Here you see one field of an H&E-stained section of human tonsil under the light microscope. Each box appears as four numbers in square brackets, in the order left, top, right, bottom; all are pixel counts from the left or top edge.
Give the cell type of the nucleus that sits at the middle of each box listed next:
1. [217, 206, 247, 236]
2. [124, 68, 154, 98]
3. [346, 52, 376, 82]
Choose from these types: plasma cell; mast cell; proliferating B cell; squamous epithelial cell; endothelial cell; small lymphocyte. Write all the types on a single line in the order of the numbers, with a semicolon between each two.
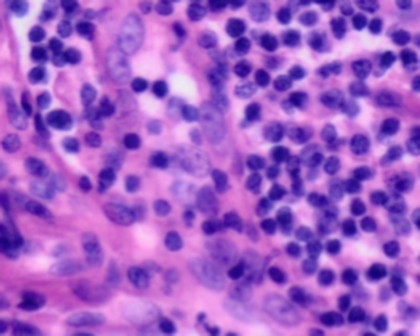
endothelial cell; endothelial cell; plasma cell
